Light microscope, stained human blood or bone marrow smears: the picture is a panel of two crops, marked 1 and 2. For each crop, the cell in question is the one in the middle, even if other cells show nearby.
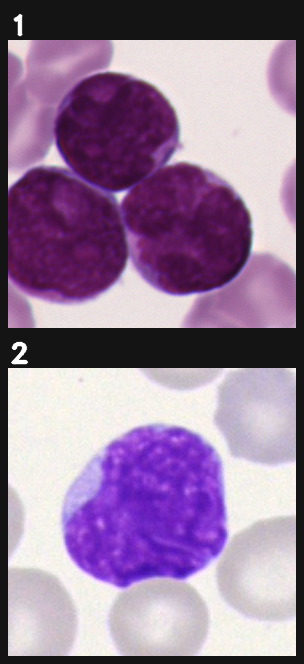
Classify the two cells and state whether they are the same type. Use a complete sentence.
Yes, in the two crops, blasts are the cells at the centre.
